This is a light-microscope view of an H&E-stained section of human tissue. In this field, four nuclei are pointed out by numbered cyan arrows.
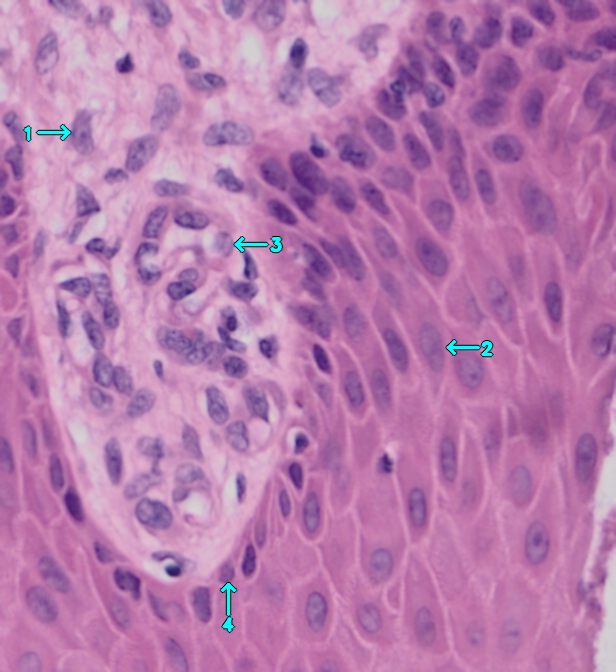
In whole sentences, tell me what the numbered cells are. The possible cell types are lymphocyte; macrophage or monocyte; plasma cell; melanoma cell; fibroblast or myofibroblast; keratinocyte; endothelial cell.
Cell 1 is a fibroblast or myofibroblast. Cells 2 and 4 are keratinocytes. Cell 3 is an endothelial cell.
